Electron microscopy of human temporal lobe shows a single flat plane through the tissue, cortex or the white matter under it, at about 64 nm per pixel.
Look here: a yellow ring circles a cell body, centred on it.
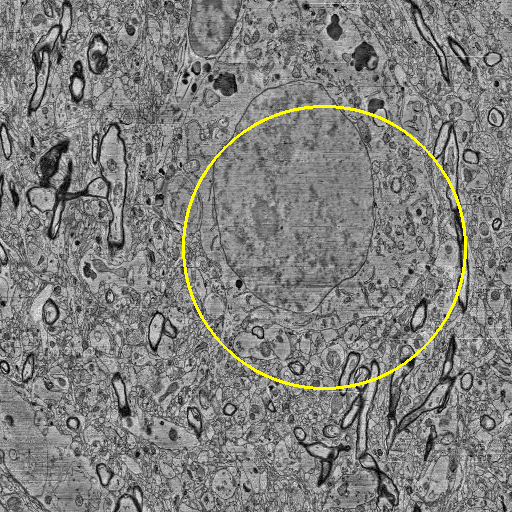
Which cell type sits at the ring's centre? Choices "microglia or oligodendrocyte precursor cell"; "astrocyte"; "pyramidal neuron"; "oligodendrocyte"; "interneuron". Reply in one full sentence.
The cell at the centre of the yellow ring in the picture is a pyramidal neuron.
